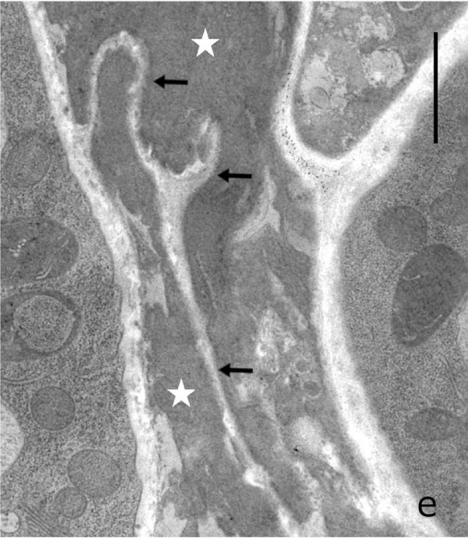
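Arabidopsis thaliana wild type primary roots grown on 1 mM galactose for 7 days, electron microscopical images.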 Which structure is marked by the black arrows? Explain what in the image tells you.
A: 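Pale, curled and folded wall-like strands lie within the dark material. The strands end freely and do not enclose whole cells.
Hence: Cell wall remnants.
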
